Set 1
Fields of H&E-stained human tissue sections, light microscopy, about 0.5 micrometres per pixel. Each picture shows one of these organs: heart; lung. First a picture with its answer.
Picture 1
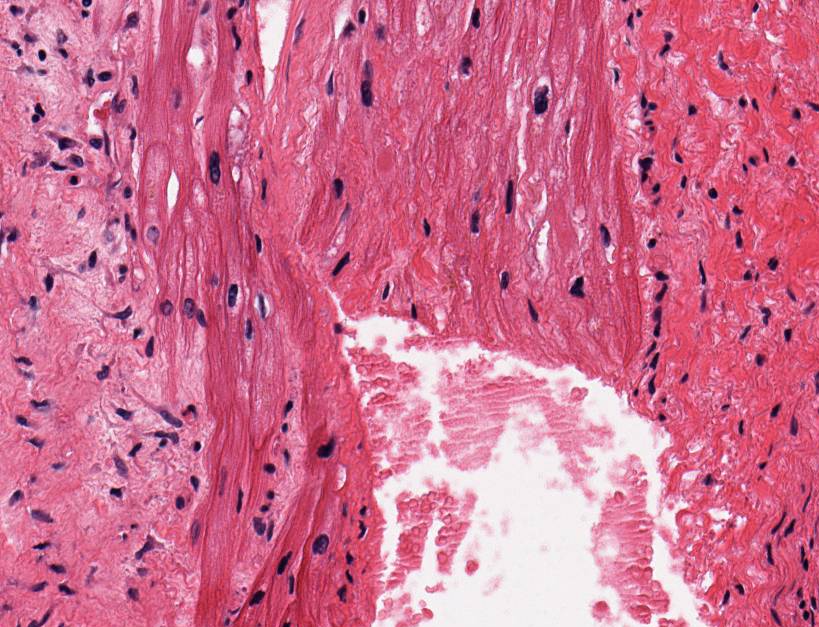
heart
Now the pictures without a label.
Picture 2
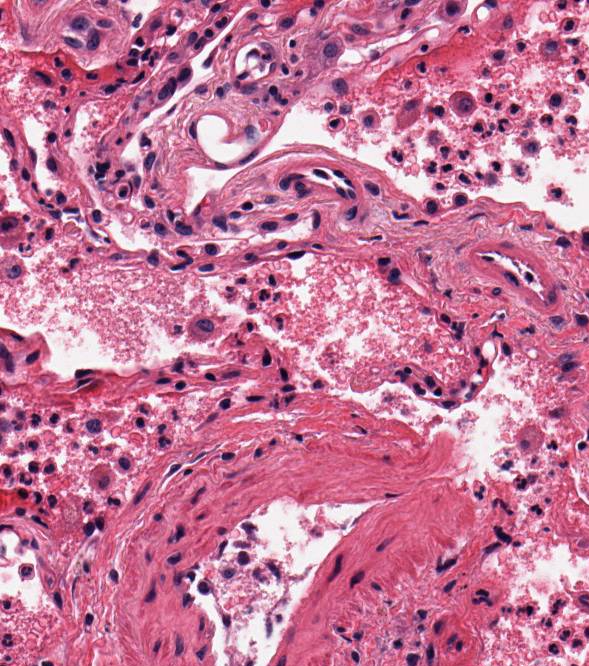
lung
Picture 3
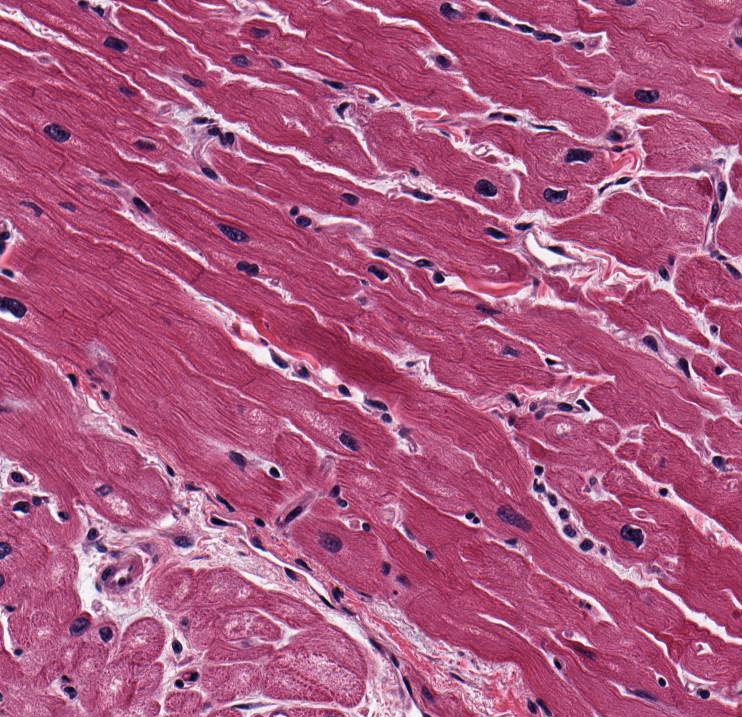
heart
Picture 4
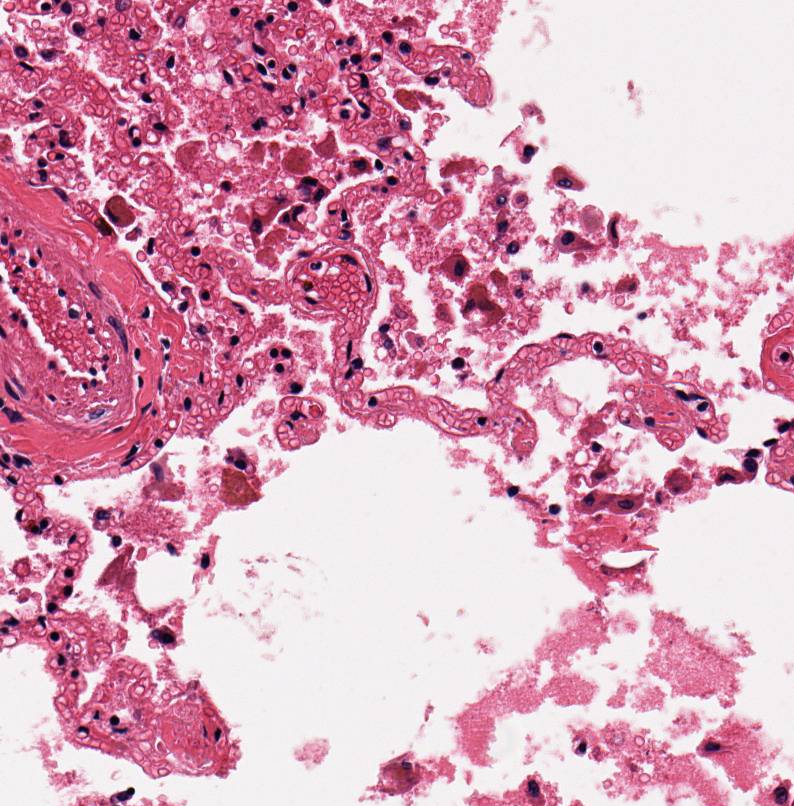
lung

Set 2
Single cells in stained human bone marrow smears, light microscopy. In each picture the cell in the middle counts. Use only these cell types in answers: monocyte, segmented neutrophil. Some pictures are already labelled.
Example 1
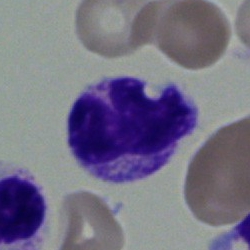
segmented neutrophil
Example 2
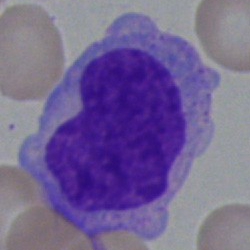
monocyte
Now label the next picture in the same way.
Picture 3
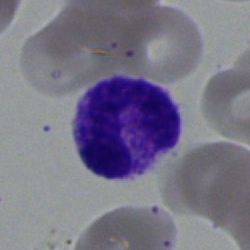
segmented neutrophil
